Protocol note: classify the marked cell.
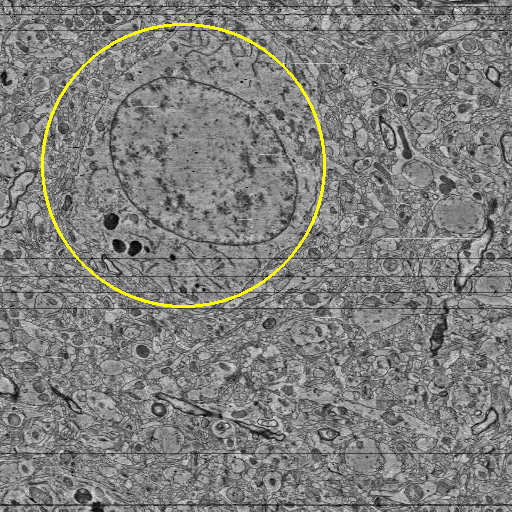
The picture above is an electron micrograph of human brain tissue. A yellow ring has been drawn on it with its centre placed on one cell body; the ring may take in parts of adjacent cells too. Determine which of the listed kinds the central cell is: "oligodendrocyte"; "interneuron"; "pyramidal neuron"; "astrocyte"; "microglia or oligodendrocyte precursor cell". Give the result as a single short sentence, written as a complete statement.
The central cell is a pyramidal neuron.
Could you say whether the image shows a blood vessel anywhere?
No, there is no blood vessel.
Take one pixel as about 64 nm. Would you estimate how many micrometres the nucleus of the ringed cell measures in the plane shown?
Roughly 13 micrometres by 10 micrometres, in this plane.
